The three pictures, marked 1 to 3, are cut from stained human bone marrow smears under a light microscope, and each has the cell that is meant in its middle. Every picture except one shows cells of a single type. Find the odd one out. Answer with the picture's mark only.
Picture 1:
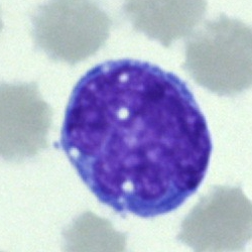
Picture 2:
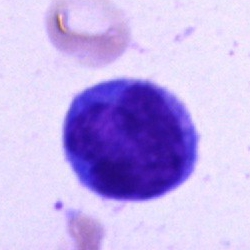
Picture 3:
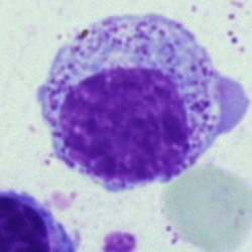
3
